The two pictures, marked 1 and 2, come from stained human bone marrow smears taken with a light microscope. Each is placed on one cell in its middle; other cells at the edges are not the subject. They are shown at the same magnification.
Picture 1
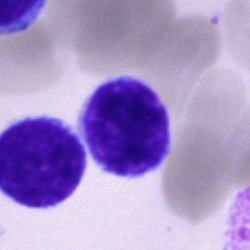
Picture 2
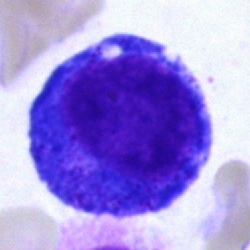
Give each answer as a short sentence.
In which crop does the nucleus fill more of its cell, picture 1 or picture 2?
It is the cell in picture 1 that is filled more by its nucleus.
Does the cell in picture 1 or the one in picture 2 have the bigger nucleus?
The nucleus in picture 2 is larger, with about 2.5 times the area of the one in picture 1.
